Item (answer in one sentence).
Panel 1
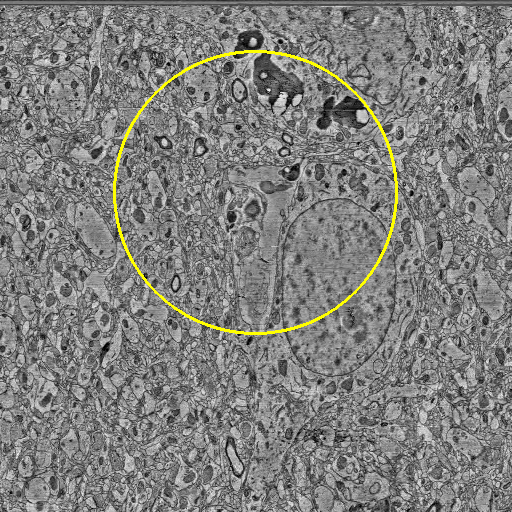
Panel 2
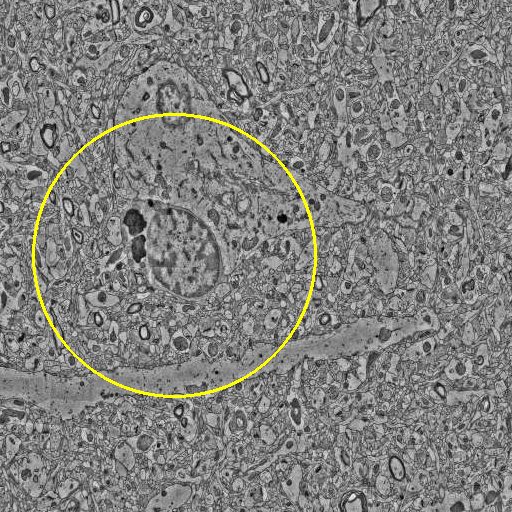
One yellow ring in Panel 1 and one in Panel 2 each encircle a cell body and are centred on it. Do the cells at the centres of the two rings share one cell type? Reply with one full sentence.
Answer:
No, Panel 1 and Panel 2 show cells of two types at the centres of their rings.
